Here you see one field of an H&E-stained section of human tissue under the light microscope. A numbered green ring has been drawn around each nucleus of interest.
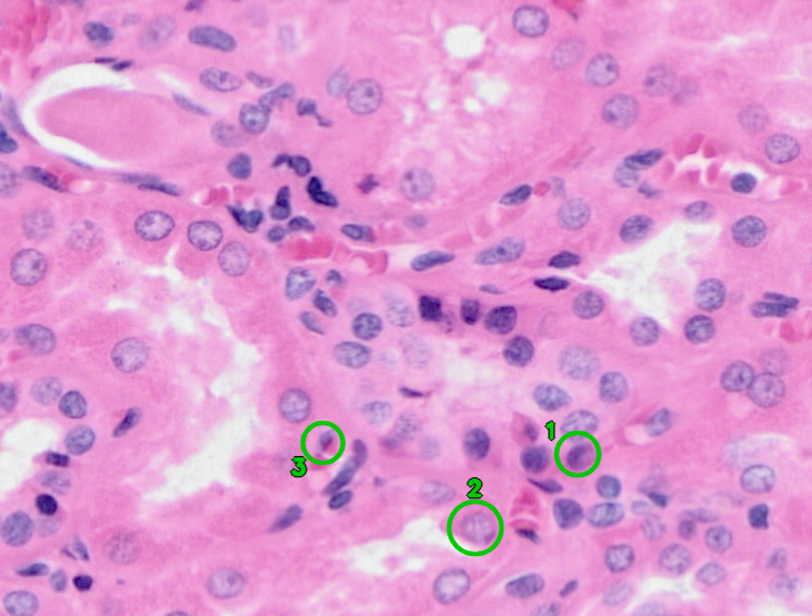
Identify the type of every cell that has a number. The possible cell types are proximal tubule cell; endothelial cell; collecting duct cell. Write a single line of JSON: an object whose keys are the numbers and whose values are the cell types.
{"1": "collecting duct cell", "2": "proximal tubule cell", "3": "endothelial cell"}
